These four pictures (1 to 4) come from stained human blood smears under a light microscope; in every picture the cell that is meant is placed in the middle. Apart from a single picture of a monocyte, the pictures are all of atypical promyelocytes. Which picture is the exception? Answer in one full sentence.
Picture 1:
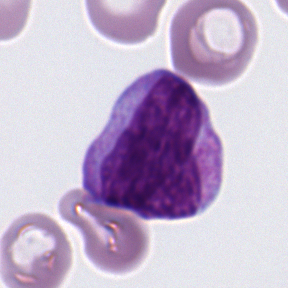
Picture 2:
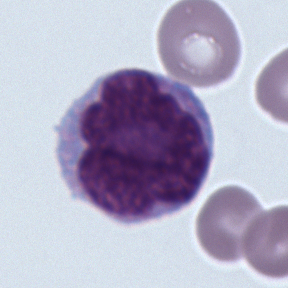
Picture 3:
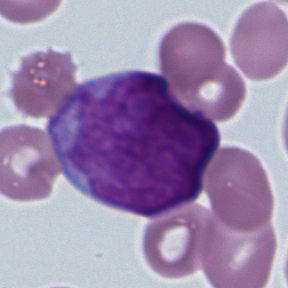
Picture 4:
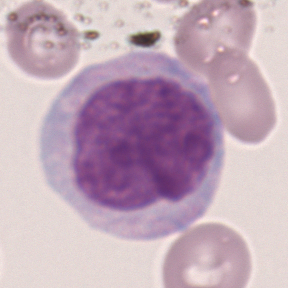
The picture with the monocyte is 2.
